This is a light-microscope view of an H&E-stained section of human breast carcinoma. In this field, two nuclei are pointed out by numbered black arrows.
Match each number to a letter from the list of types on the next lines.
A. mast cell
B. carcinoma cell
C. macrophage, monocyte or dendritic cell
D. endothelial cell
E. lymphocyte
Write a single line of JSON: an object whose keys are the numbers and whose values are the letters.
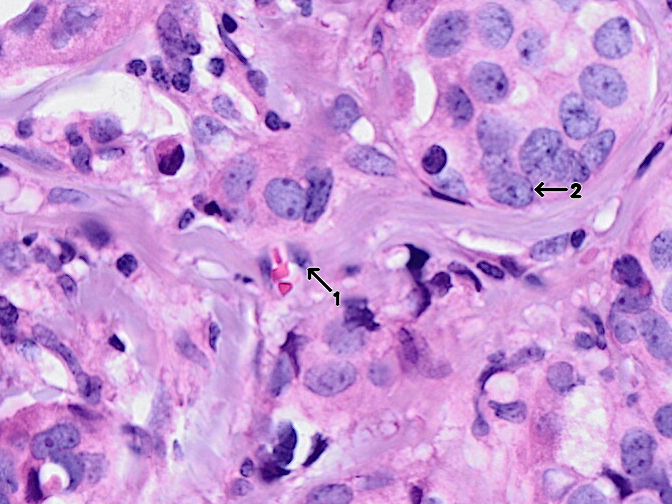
{"1": "D", "2": "B"}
